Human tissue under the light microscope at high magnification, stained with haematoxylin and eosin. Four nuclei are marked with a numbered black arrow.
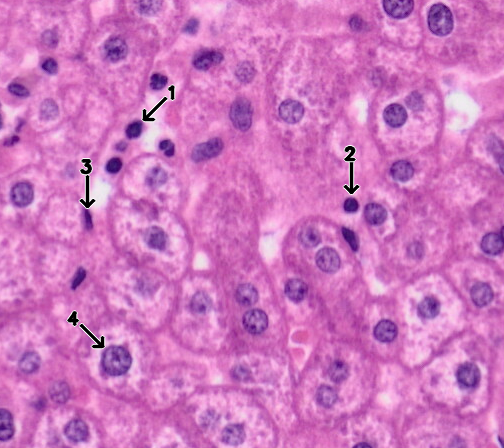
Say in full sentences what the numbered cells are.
Cells 1 and 2 are lymphocytes. Cell 3 is an endothelial cell. Cell 4 is a hepatocyte.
